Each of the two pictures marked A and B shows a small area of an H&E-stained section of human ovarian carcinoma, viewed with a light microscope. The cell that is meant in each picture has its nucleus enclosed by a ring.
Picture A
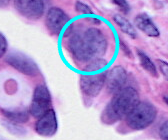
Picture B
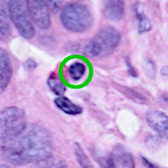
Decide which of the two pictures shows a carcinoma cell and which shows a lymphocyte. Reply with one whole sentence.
Picture A is of a carcinoma cell, and picture B is of a lymphocyte.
